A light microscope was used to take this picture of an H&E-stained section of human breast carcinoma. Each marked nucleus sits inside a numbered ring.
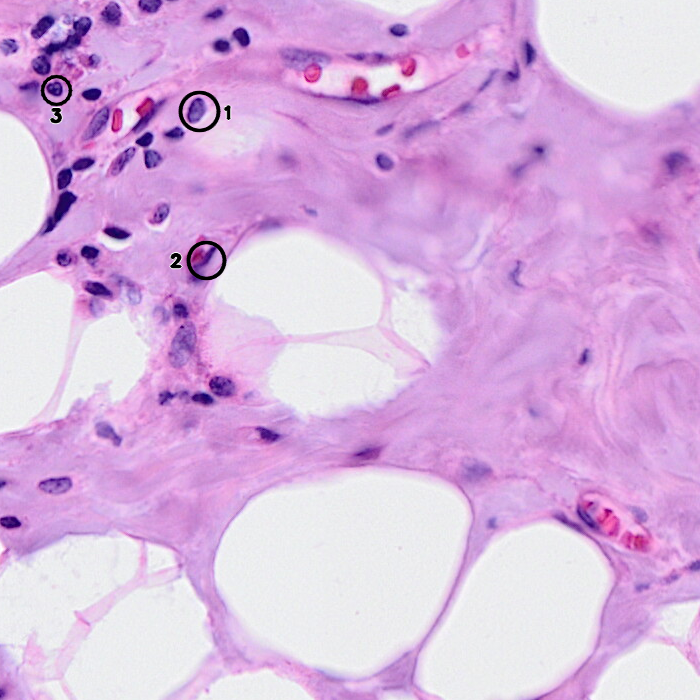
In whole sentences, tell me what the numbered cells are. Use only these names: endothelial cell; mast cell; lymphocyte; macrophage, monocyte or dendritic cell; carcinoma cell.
Cell 1 is a lymphocyte, cell 2 is an endothelial cell and cell 3 is a lymphocyte.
